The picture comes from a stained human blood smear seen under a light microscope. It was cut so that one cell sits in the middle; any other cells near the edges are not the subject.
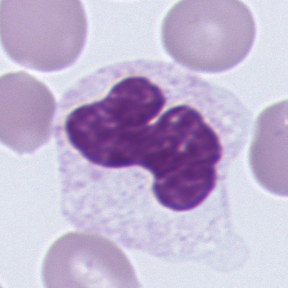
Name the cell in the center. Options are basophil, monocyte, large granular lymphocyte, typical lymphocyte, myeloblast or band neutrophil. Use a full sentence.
As for the central cell, it is a band neutrophil.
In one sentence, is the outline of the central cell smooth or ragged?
As for its outline, the cell is irregular, ragged or drawn into projections.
